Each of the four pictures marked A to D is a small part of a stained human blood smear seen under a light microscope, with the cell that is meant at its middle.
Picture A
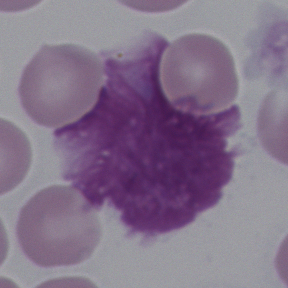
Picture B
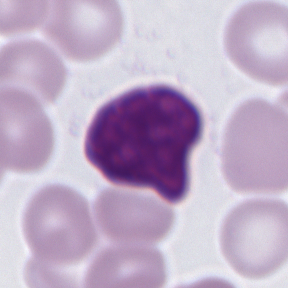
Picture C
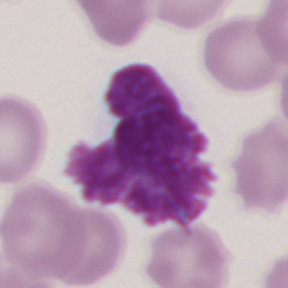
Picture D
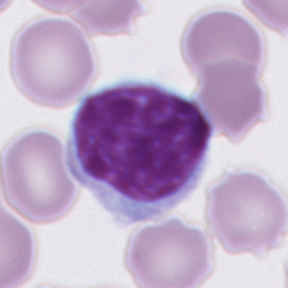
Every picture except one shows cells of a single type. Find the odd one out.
D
